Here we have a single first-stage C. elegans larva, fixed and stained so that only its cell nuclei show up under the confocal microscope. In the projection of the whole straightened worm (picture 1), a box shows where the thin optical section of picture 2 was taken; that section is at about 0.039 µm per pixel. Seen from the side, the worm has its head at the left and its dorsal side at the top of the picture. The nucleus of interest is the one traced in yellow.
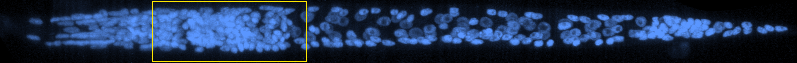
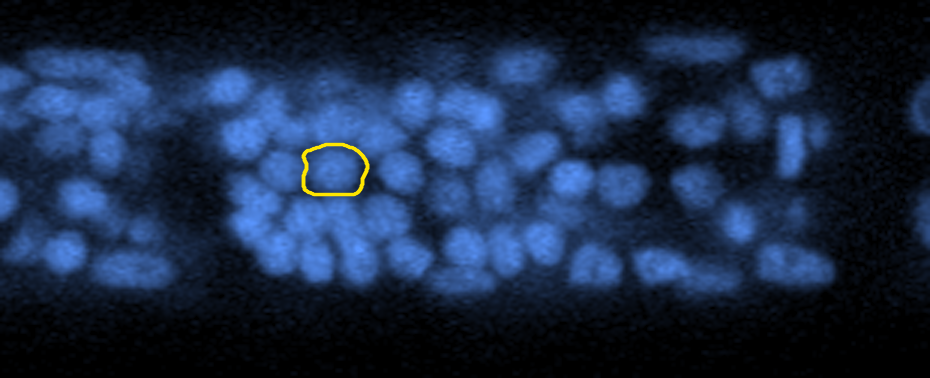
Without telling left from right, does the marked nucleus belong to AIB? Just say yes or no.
yes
